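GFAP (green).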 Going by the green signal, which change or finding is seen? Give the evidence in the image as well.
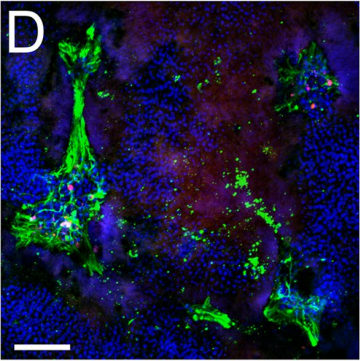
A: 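Dense bundles of green fibrous processes form discrete patches. The patches lie among densely packed blue nuclei. So: Gliosis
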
